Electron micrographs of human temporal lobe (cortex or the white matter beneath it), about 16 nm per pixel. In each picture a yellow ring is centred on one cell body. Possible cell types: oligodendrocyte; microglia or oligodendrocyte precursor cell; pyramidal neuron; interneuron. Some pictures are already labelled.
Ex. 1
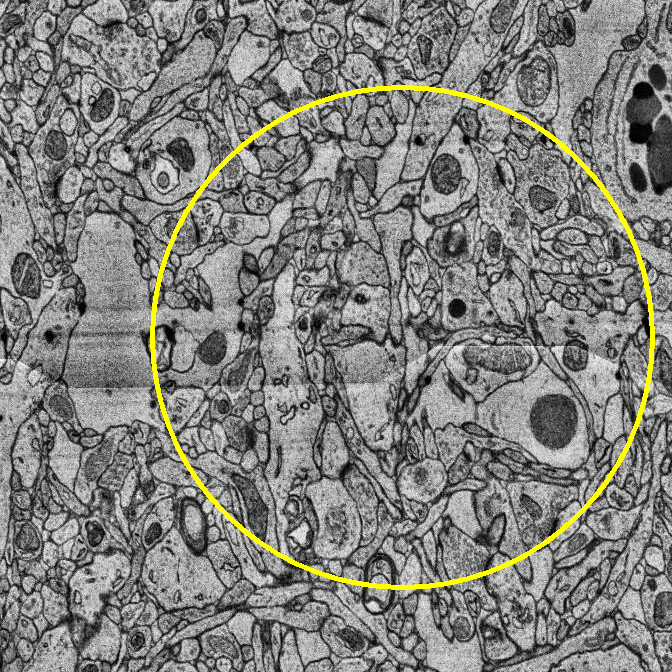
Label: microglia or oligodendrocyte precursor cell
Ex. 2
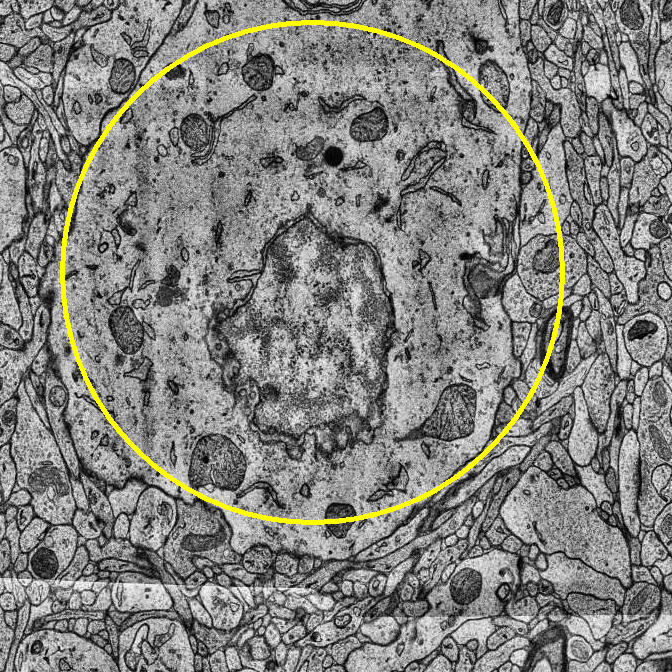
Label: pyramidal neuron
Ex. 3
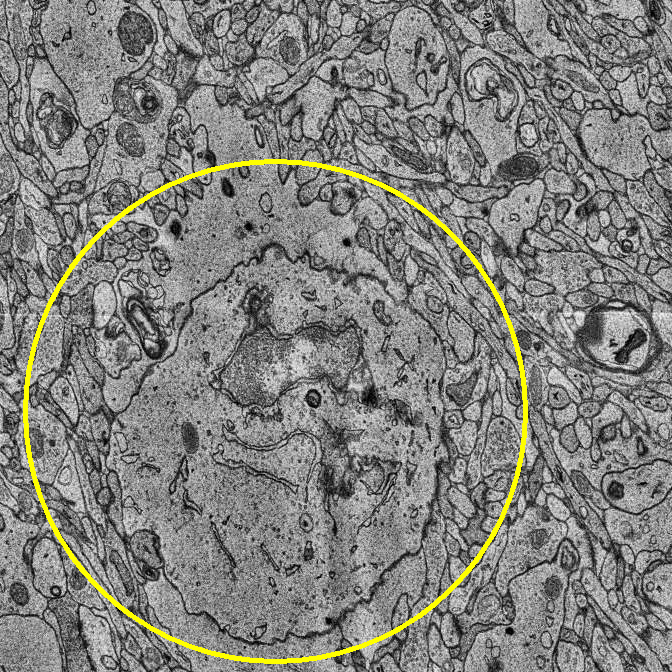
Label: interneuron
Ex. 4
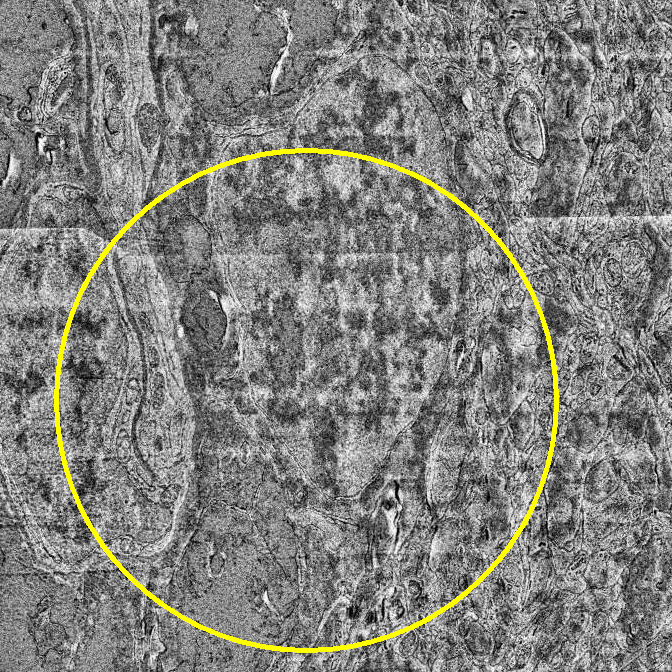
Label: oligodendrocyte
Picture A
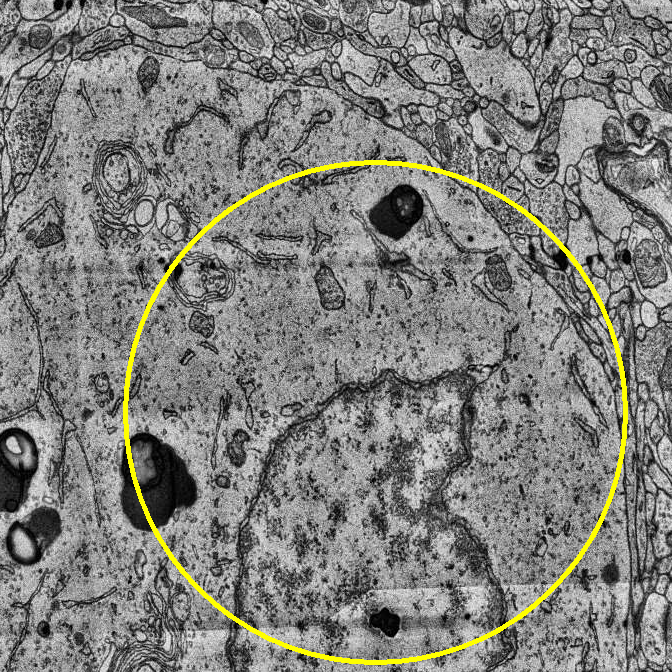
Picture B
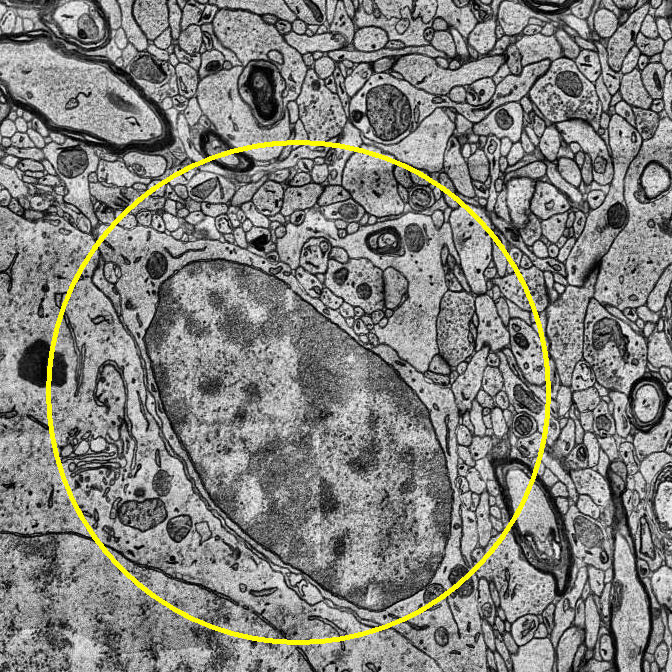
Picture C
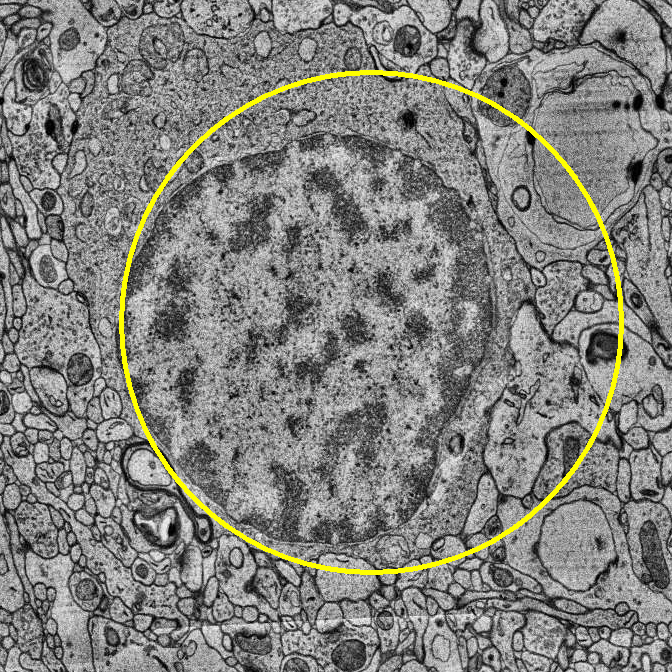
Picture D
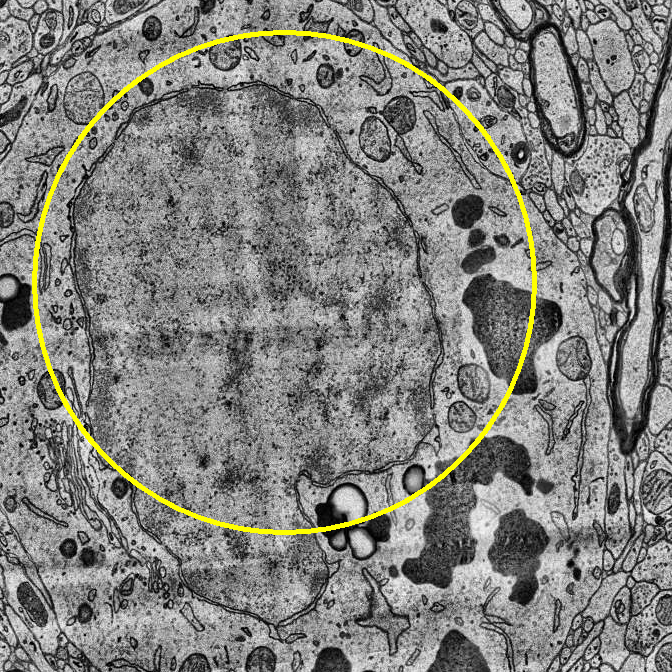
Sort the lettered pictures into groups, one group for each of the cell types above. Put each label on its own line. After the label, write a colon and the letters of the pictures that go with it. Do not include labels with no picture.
oligodendrocyte: C
microglia or oligodendrocyte precursor cell: B
pyramidal neuron: A
interneuron: D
